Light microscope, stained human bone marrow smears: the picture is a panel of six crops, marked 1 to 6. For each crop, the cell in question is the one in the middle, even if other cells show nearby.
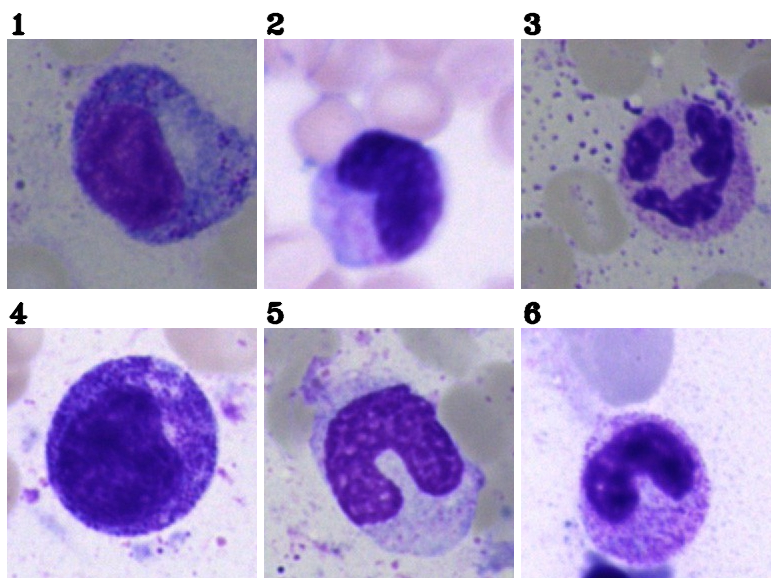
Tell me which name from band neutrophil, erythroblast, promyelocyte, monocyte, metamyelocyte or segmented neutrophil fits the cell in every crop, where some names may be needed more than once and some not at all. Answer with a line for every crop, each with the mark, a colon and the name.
1: promyelocyte
2: metamyelocyte
3: segmented neutrophil
4: promyelocyte
5: monocyte
6: band neutrophil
